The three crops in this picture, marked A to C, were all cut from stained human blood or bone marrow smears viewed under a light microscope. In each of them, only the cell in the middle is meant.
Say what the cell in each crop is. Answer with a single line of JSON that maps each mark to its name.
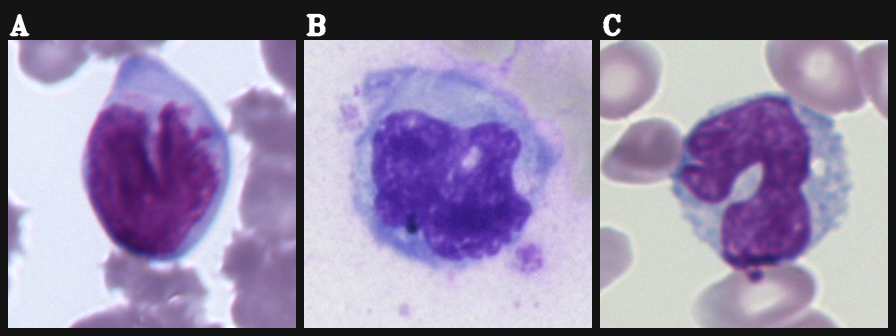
{"A": "blast", "B": "monocyte", "C": "monocyte"}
